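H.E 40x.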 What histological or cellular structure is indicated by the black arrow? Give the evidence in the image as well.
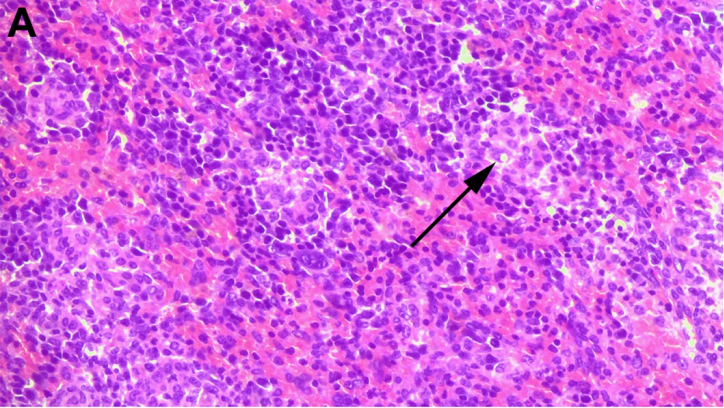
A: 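Microgranulomas. At the arrow tip lies a rounded cluster of cells with pale pink cytoplasm and paler nuclei. The cluster is surrounded by densely packed small dark round nuclei.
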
